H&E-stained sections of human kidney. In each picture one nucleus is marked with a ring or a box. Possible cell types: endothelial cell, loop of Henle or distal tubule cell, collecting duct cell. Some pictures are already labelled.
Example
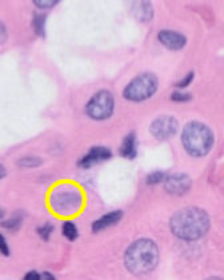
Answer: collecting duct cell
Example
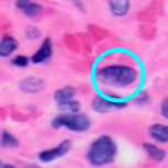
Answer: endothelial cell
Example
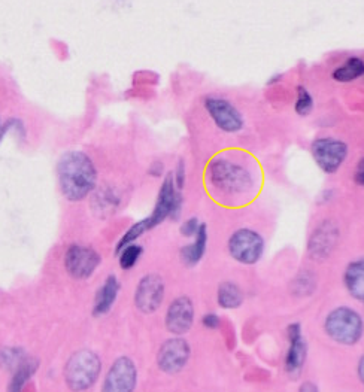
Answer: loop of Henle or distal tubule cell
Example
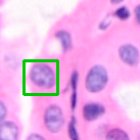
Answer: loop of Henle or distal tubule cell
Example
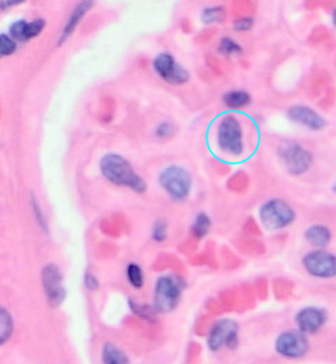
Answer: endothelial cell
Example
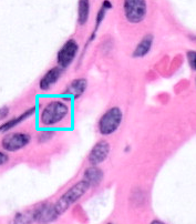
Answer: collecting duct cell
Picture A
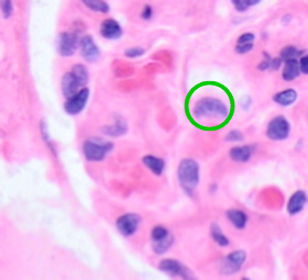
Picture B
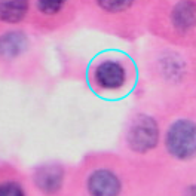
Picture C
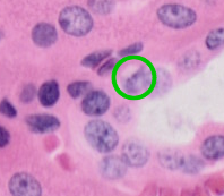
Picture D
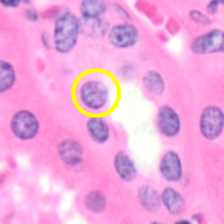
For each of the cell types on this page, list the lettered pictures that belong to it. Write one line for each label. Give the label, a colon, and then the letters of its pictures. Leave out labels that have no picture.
endothelial cell: A
loop of Henle or distal tubule cell: B
collecting duct cell: C, D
